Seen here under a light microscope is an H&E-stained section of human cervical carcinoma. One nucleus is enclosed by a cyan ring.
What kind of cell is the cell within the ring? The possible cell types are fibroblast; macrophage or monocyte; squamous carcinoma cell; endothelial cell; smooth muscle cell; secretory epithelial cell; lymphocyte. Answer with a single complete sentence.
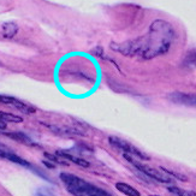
By cell type, the cell within the ring is a squamous carcinoma cell.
